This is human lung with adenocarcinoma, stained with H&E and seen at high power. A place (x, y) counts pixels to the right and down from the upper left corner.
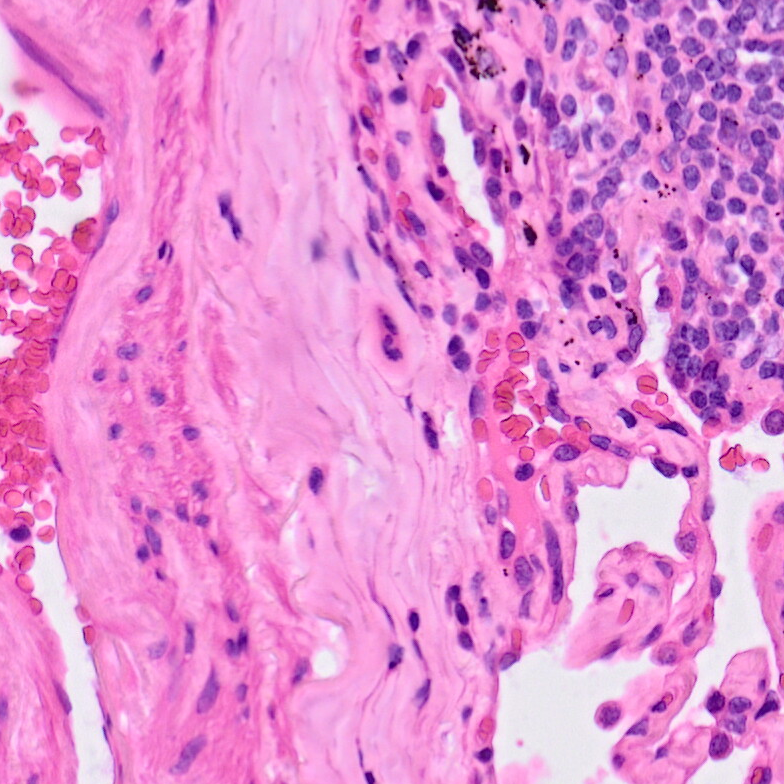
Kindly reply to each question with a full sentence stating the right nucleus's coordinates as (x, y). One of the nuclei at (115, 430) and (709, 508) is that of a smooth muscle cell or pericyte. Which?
The nucleus belonging to a smooth muscle cell or pericyte is the one at (115, 430).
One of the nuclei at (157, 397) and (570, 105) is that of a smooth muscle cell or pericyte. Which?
The nucleus at position (157, 397) belongs to a smooth muscle cell or pericyte.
